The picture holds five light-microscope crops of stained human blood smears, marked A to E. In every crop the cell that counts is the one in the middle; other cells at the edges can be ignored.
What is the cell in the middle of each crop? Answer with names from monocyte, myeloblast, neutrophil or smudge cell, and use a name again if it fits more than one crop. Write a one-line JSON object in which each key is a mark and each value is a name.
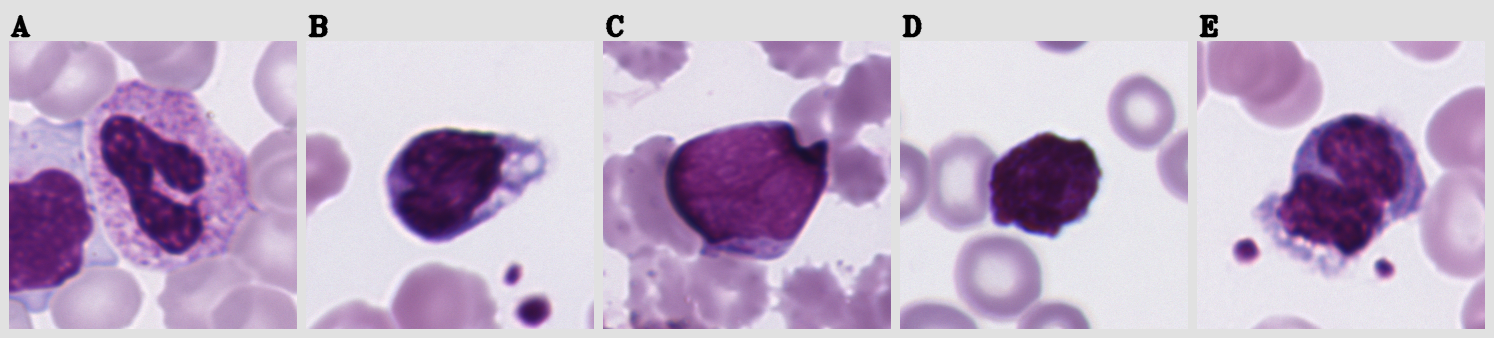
{"A": "neutrophil", "B": "monocyte", "C": "myeloblast", "D": "myeloblast", "E": "monocyte"}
